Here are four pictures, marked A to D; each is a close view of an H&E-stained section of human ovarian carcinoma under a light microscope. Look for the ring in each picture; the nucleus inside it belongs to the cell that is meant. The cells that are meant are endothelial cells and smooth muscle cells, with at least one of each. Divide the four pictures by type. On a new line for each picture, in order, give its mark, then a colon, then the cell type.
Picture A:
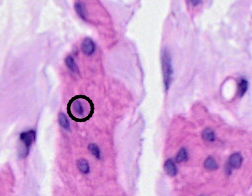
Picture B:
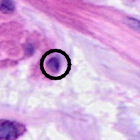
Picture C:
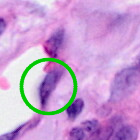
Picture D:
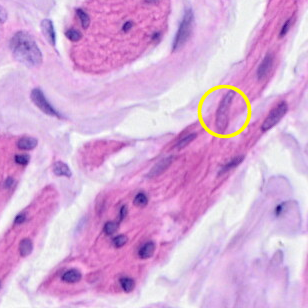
A: smooth muscle cell
B: smooth muscle cell
C: endothelial cell
D: smooth muscle cell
